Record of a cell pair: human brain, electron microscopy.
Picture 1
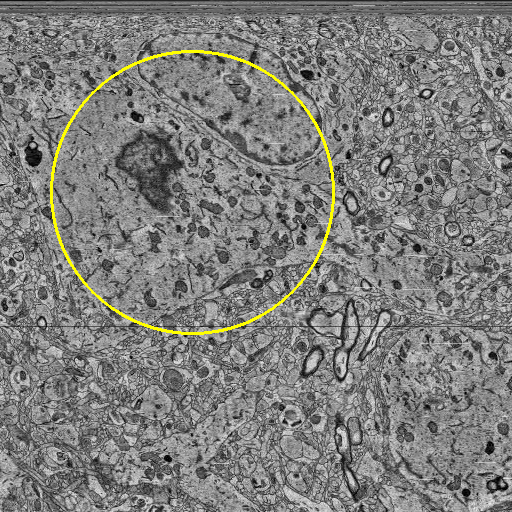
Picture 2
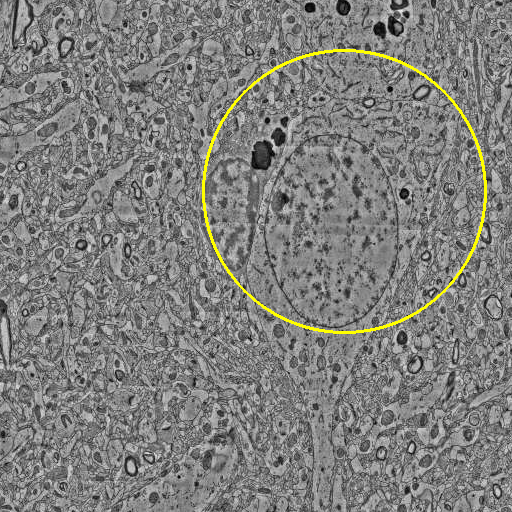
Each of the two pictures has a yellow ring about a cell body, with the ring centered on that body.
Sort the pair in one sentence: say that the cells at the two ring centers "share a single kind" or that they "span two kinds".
The cells centered in the rings of Pictures 1 and 2 span two kinds.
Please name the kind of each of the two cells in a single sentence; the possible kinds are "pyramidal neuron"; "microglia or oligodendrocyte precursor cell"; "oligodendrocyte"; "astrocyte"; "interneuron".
In the first picture the ring is centred on a microglial cell or oligodendrocyte precursor cell, and in the second on a pyramidal neuron.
